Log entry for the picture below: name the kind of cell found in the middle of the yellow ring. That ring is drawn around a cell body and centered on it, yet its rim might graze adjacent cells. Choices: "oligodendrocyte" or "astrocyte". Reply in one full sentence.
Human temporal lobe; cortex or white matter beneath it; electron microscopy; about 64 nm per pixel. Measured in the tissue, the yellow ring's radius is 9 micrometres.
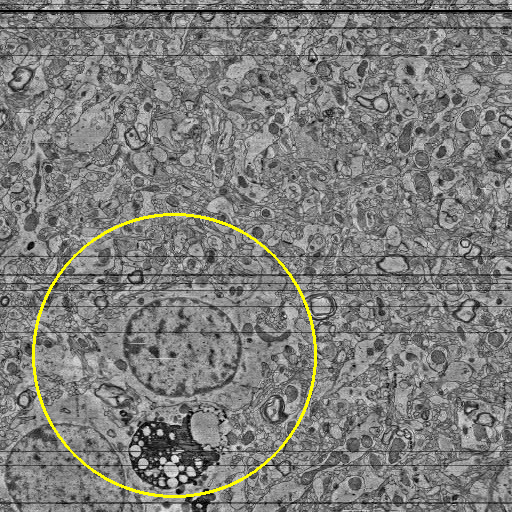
The cell in the middle of the yellow ring in this picture is an astrocyte.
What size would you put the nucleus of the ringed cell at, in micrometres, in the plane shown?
In this plane the ringed cell's nucleus is roughly 7 micrometres across.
